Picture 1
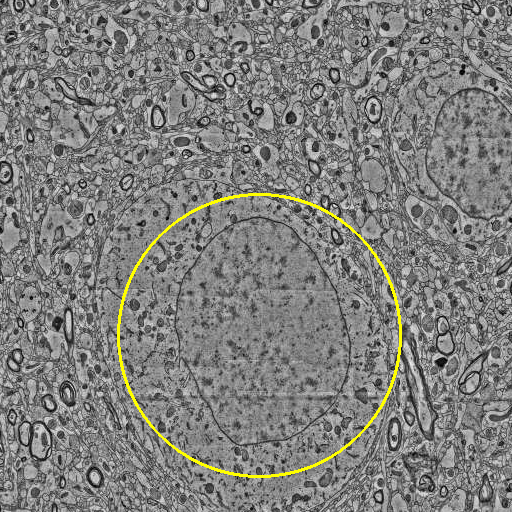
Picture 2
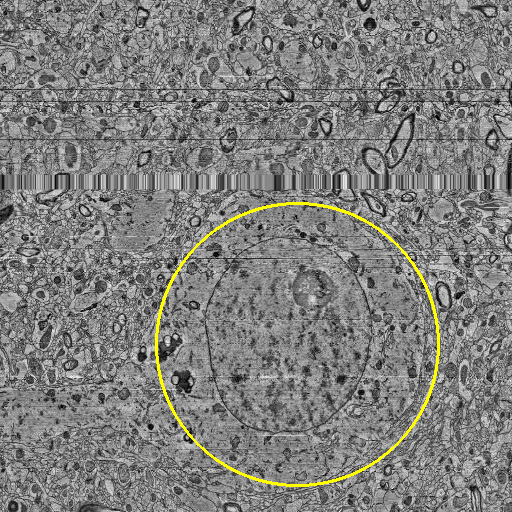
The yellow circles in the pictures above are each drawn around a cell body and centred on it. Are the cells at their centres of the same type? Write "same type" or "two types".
same type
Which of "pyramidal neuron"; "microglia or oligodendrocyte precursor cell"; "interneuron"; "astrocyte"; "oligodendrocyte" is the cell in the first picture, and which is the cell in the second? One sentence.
Both cells are the same kind, each one being a pyramidal neuron.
